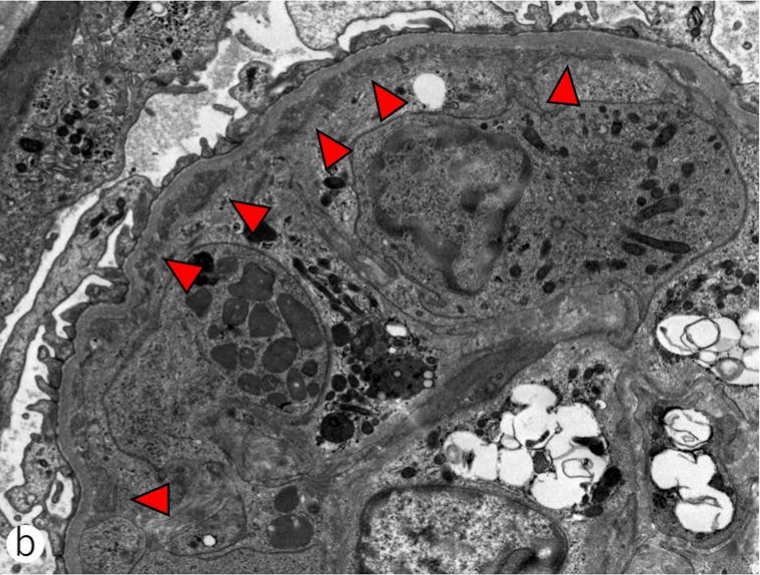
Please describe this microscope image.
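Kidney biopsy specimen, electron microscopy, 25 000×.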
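At higher power, parts of glomerular capillary loops and their cells are seen with a thick grey basement membrane curving around them. Dark, electron-dense material lies in places along this membrane. Inside, cells show large nuclei with finely granular chromatin and irregular outlines, and cytoplasm packed with elongated dark mitochondria and rounded dense granules of varying size. Outside the membrane, thin foot processes and a pale space line the upper left edge. At the lower right, clusters of clear vacuoles containing whorled membranous material sit within neighbouring cells.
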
